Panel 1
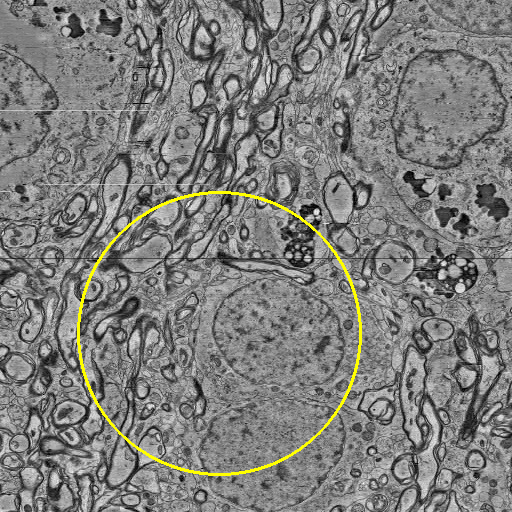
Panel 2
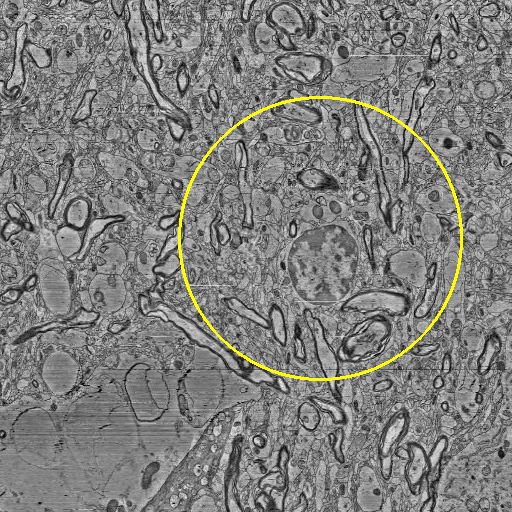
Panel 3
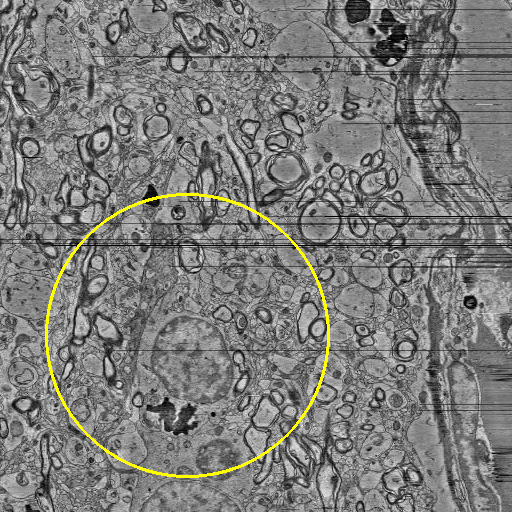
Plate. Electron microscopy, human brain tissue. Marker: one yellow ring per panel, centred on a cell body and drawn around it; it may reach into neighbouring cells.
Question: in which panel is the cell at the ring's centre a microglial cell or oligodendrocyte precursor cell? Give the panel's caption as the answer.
Panel 2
